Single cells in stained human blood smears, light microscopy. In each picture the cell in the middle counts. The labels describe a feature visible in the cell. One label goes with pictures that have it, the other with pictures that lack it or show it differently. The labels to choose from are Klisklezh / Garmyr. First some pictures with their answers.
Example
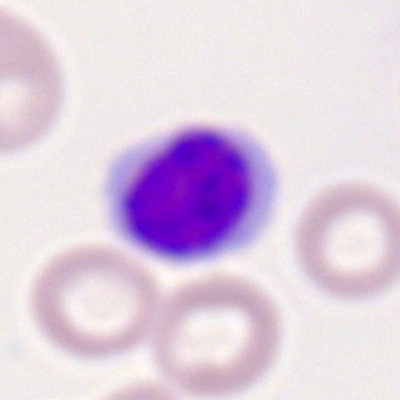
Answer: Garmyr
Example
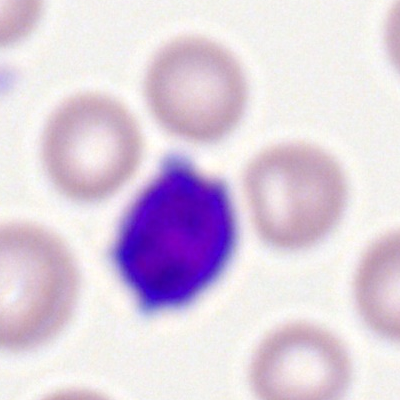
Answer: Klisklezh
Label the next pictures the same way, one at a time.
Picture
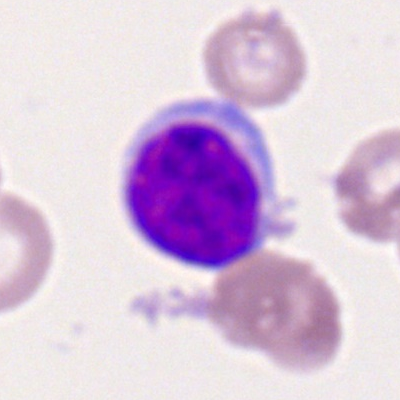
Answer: Klisklezh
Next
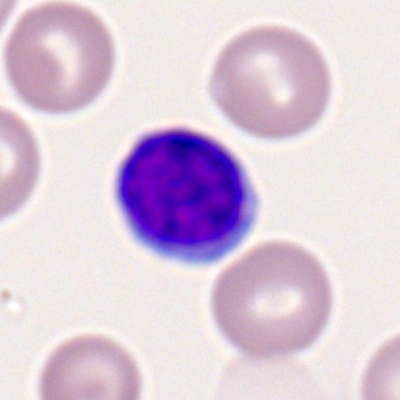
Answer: Garmyr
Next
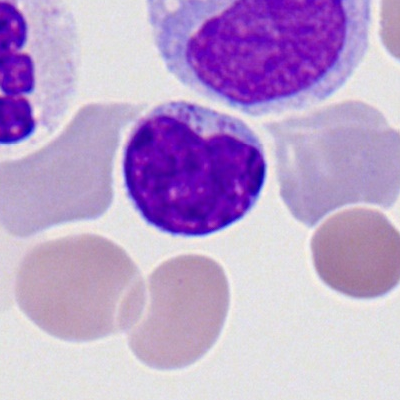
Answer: Garmyr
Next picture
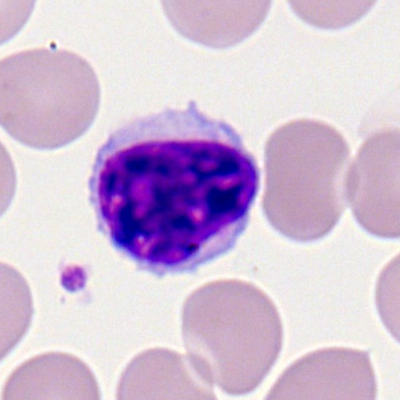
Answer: Klisklezh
